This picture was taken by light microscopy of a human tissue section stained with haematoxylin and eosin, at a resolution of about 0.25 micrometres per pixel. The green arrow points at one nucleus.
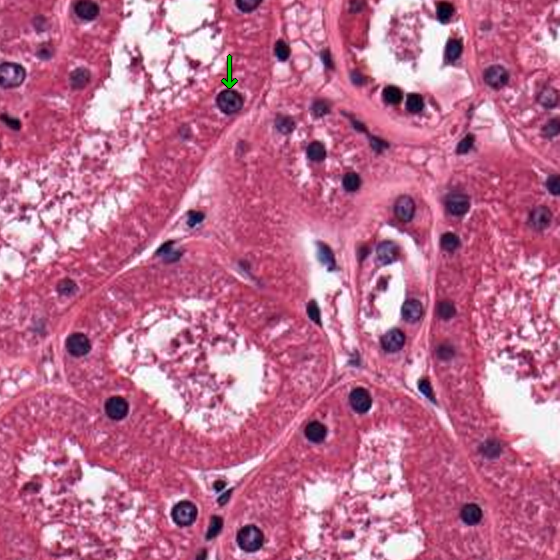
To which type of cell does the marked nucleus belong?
proximal tubule cell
